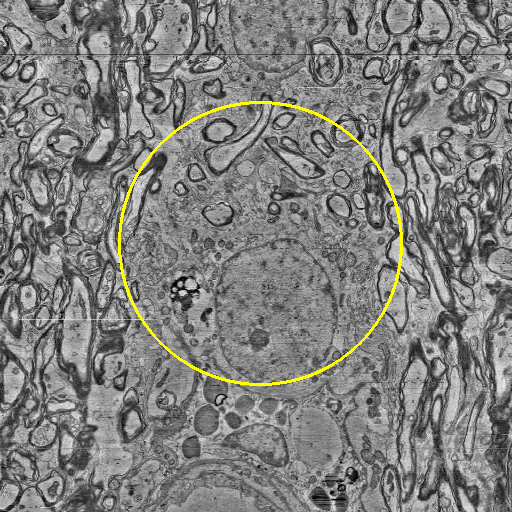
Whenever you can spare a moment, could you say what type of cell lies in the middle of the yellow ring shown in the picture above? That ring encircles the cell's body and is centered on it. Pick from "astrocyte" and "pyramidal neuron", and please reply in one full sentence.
The cell whose body sits at the middle of the yellow ring is an astrocyte.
